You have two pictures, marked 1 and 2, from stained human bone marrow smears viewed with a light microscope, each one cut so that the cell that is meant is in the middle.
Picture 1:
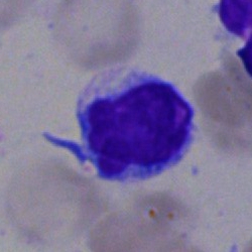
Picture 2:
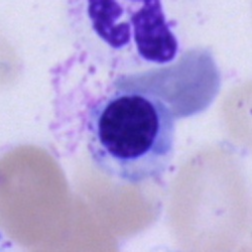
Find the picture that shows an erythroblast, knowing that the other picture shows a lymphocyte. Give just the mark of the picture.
2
